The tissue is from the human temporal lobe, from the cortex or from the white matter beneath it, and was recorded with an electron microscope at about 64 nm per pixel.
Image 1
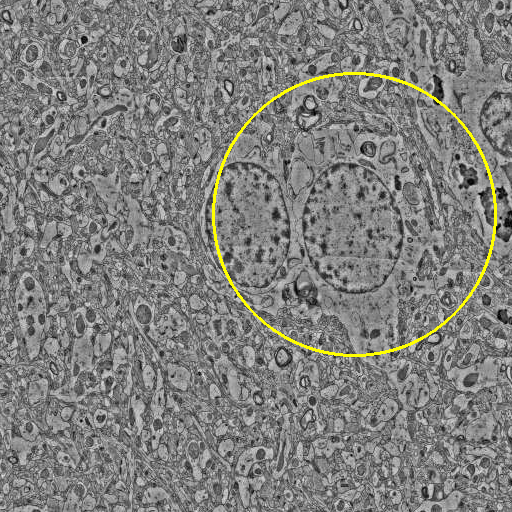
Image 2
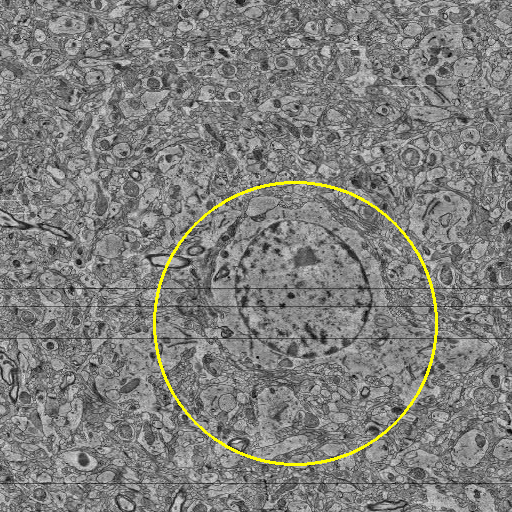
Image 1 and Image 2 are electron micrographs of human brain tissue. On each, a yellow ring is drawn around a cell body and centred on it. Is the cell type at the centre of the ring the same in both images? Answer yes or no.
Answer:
yes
